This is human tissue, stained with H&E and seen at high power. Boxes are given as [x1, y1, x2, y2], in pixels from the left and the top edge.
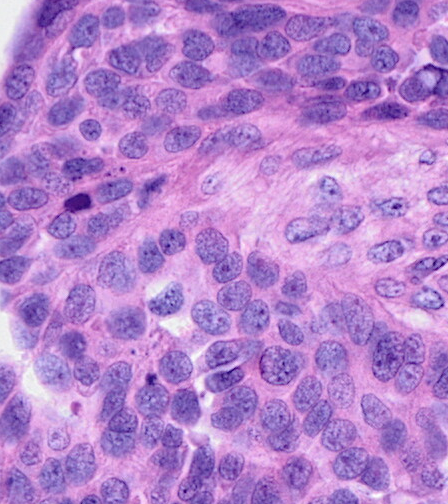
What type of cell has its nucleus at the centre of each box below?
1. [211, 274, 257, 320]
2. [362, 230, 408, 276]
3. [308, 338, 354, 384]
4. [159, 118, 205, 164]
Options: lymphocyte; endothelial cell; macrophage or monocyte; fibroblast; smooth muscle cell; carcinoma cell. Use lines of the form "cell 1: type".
cell 1: carcinoma cell
cell 2: fibroblast
cell 3: carcinoma cell
cell 4: carcinoma cell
